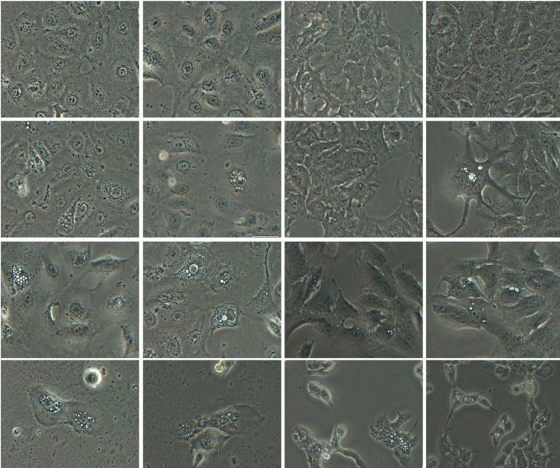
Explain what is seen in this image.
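The cells are flat and polygonal to spindle-shaped, with oval nuclei that contain dark nucleoli. In the upper rows the cells lie close together, while in the lower rows they are fewer and more widely spread. In the lower rows many cells carry clusters of small, bright, round refractile vacuoles in the cytoplasm around the nucleus.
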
